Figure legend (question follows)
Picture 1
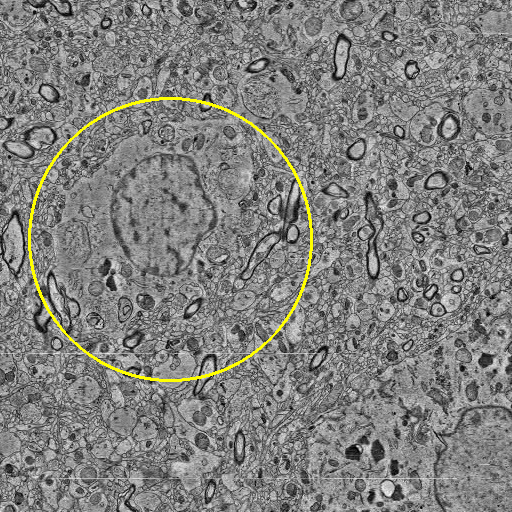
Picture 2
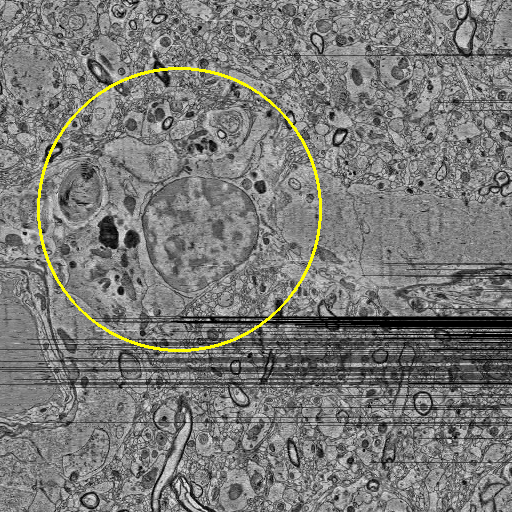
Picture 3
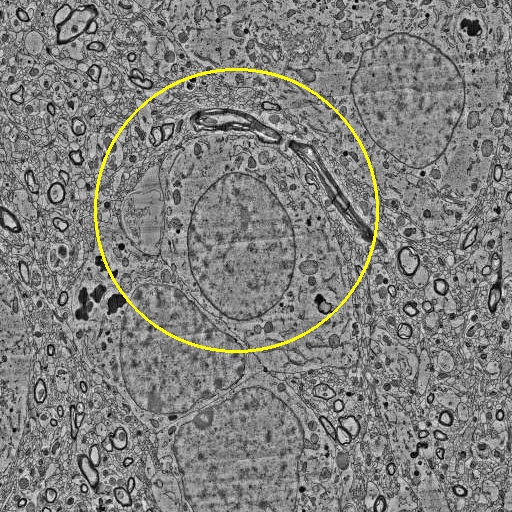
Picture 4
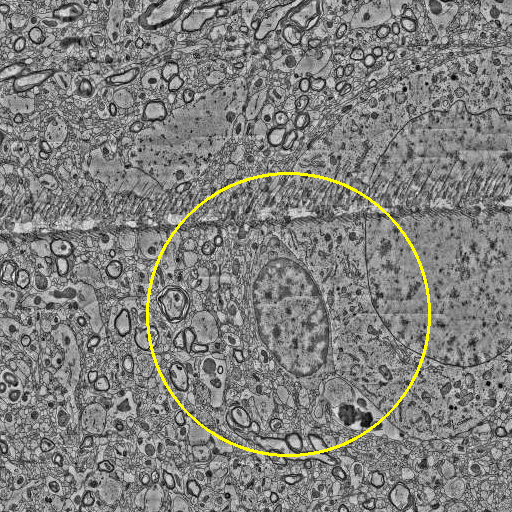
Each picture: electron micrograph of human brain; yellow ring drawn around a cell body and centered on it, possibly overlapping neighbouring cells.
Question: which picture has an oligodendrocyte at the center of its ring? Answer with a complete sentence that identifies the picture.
Picture 4 has it at the center of its ring.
